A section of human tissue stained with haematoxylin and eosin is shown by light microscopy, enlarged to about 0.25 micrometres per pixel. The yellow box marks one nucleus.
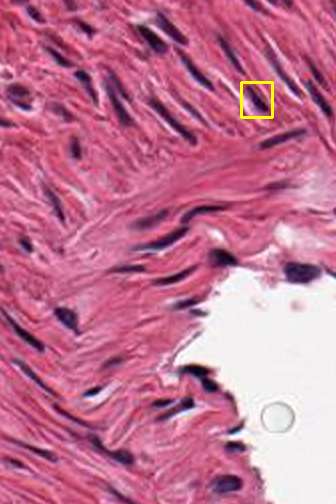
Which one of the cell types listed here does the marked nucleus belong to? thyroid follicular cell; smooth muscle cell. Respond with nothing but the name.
smooth muscle cell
